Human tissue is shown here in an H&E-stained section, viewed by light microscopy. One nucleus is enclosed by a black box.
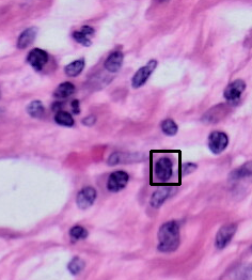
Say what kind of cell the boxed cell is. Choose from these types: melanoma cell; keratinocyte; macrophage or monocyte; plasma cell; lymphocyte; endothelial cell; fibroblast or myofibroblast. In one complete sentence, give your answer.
Speaking plainly, the boxed cell is nothing other than a plasma cell.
